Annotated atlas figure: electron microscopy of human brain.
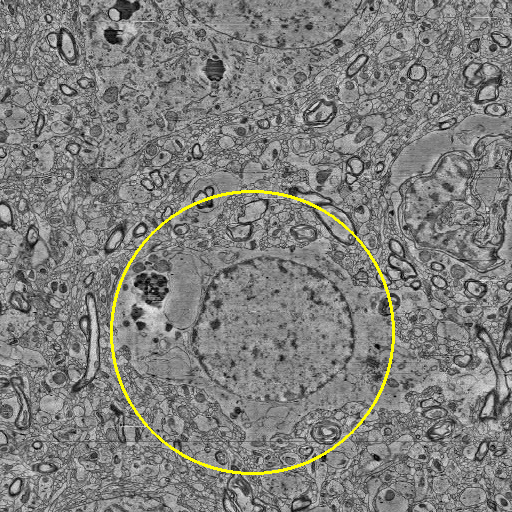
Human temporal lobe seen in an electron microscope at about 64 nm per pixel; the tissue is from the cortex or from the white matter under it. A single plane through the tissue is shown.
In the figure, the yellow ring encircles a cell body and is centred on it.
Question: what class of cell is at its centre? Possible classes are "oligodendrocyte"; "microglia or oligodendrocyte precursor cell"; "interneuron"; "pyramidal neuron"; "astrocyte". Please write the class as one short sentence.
The yellow ring is drawn around an astrocyte.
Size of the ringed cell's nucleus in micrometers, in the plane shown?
About 10 micrometers across, in this plane.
